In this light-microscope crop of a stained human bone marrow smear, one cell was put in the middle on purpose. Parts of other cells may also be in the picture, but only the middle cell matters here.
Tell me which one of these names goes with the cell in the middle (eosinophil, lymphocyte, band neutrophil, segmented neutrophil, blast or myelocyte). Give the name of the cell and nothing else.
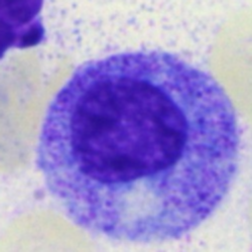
myelocyte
